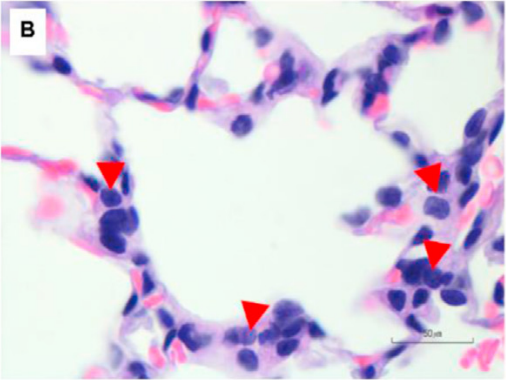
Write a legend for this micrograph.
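Lung parenchyma with open alveolar air spaces whose walls are thickened in places by clusters of inflammatory cells with round, dark purple nuclei and scant cytoplasm. Between these clusters the septa remain thin, containing flattened nuclei and pink red blood cells in capillaries.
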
